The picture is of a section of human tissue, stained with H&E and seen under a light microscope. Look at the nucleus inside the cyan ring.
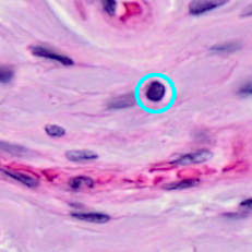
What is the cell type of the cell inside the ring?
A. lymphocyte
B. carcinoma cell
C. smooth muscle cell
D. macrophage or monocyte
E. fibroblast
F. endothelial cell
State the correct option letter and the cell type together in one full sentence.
Option A describes the cell inside the ring accurately as a lymphocyte.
